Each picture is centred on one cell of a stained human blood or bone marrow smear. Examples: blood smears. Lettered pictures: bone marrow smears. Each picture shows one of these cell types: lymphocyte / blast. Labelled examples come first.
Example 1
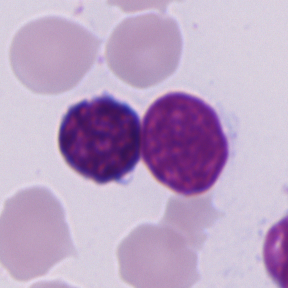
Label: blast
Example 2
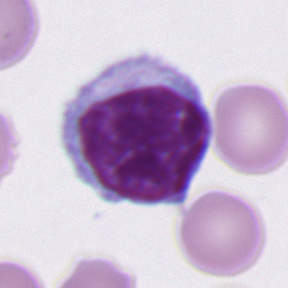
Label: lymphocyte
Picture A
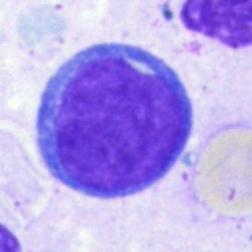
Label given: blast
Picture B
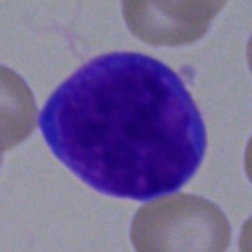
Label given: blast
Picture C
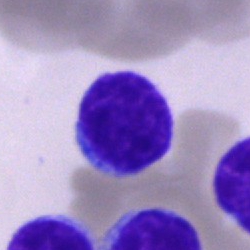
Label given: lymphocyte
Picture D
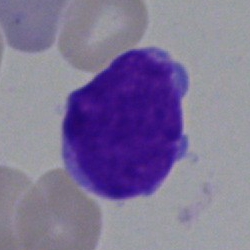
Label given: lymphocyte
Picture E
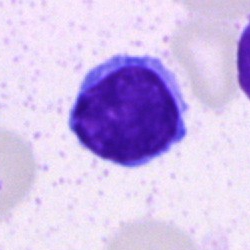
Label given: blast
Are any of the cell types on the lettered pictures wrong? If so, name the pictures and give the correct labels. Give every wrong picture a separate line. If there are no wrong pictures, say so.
D is labelled lymphocyte; correct label: blast
E is labelled blast; correct label: lymphocyte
